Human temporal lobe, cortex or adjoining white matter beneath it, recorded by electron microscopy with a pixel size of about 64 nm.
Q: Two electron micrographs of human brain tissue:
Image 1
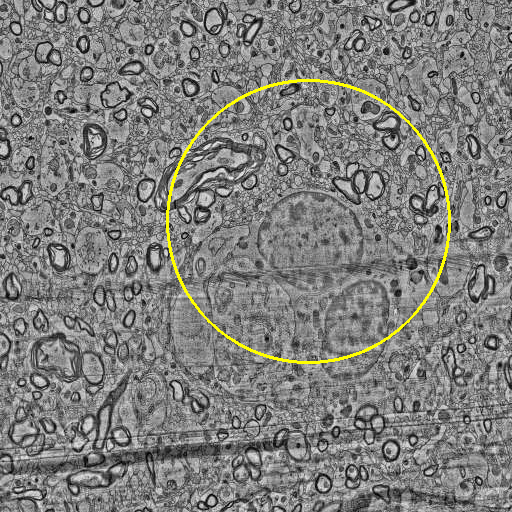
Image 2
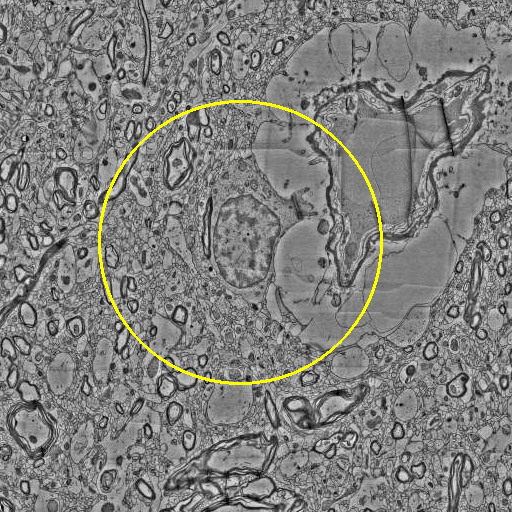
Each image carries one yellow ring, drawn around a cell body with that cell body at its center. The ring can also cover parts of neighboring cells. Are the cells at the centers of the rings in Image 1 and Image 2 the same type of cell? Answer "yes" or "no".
yes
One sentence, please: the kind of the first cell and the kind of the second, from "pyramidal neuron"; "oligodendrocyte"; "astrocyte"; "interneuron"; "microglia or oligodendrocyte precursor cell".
In the first picture and in the second, the ring is centred on an oligodendrocyte.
